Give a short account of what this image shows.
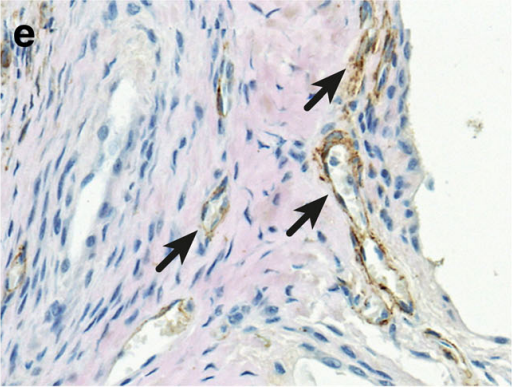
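Elongated, spindle-shaped blue nuclei lie scattered in parallel streams through the pale pink background, typical of fibroblast-like cells. Running among them are narrow tubes with open lumens, cut lengthwise or obliquely, lined by flat cells whose borders carry granular brown stain. The vessels cluster on the right side near the free tissue edge, while an unstained slit-like space lies toward the left.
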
